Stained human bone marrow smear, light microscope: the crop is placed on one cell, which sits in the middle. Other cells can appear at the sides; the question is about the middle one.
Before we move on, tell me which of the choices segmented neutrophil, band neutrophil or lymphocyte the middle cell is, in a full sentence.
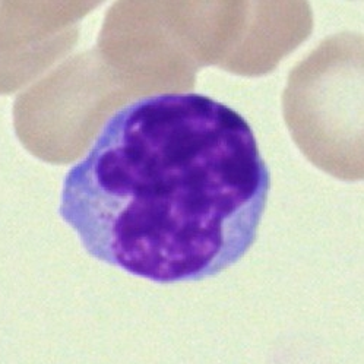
The central cell shown in this smear crop is a lymphocyte.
